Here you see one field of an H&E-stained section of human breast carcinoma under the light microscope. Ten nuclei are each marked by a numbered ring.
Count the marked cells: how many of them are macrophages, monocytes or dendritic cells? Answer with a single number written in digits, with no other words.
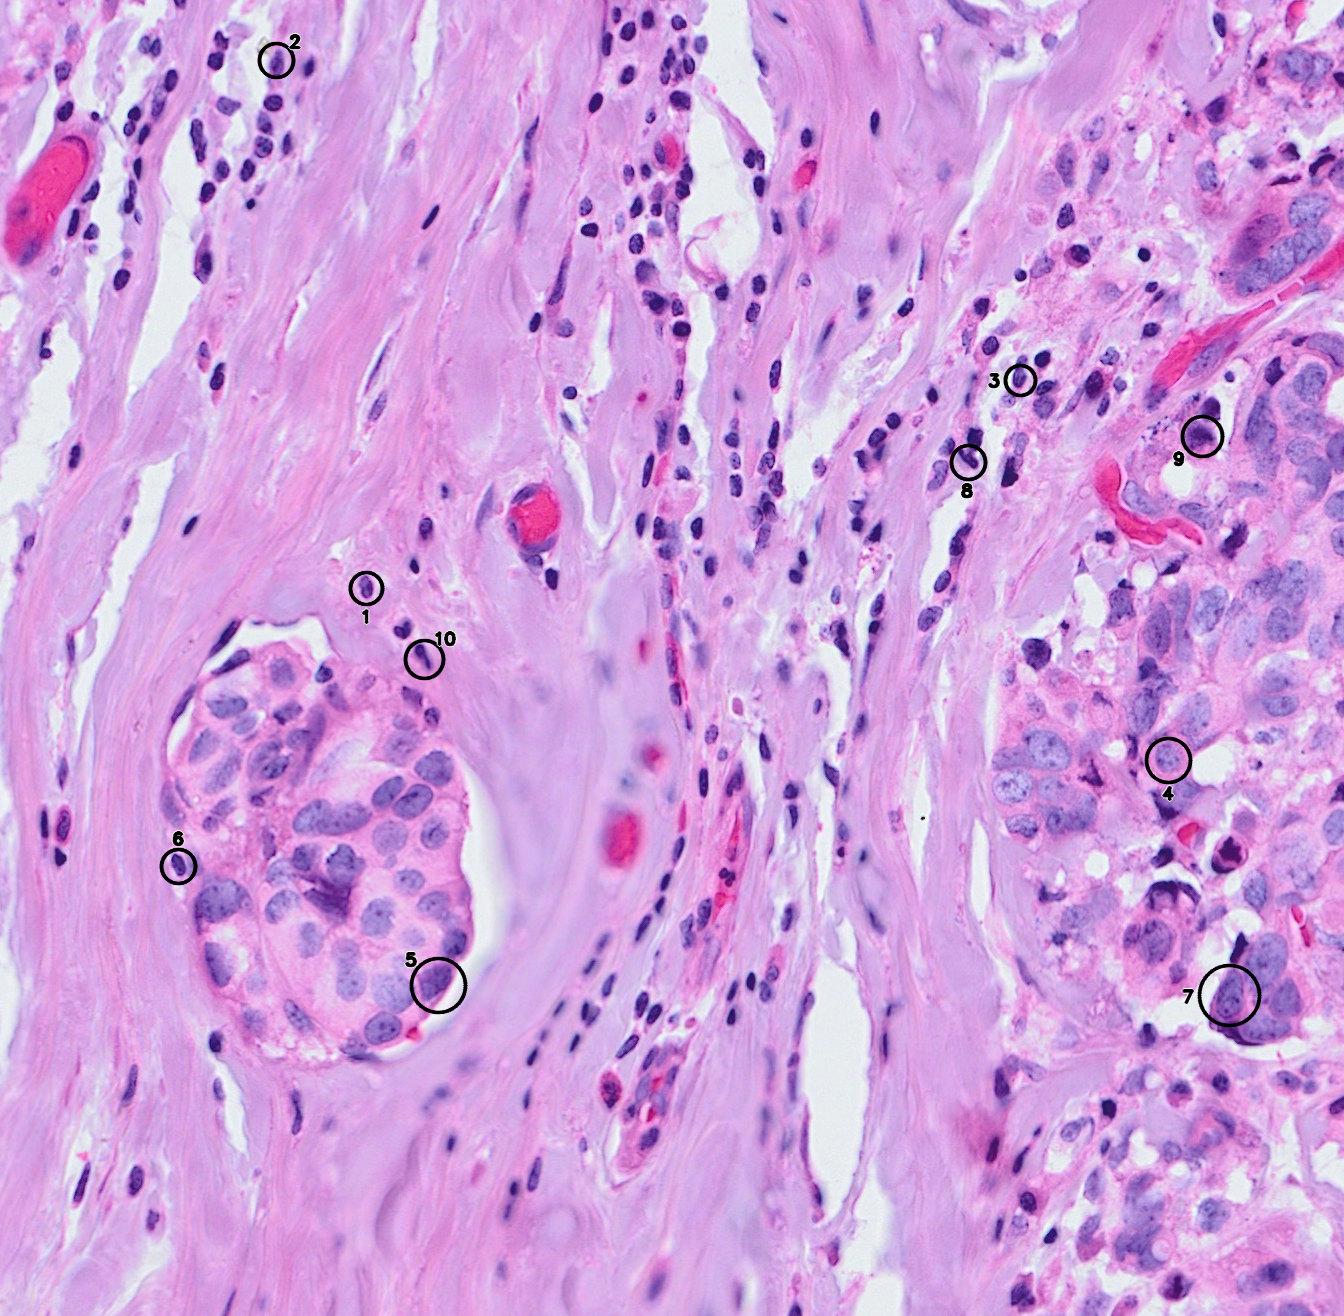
0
